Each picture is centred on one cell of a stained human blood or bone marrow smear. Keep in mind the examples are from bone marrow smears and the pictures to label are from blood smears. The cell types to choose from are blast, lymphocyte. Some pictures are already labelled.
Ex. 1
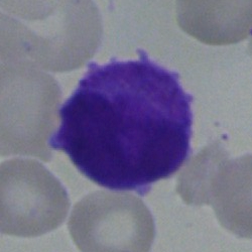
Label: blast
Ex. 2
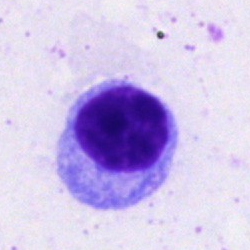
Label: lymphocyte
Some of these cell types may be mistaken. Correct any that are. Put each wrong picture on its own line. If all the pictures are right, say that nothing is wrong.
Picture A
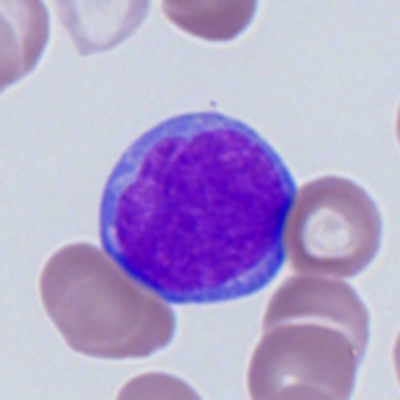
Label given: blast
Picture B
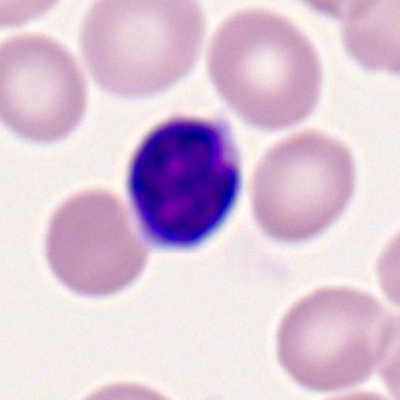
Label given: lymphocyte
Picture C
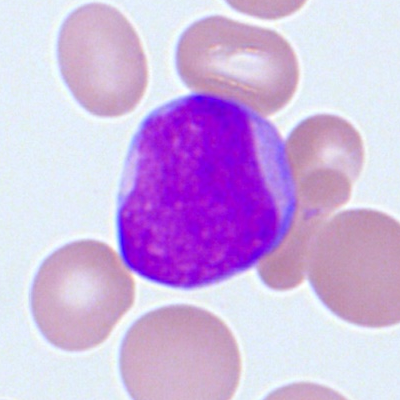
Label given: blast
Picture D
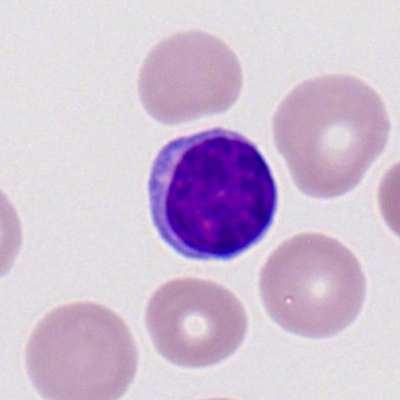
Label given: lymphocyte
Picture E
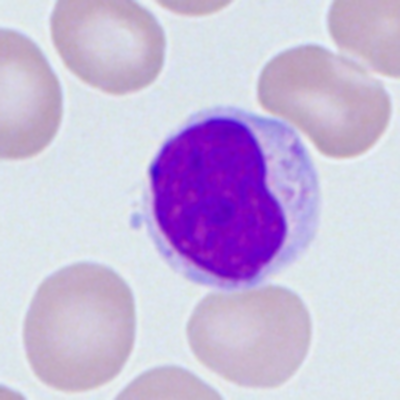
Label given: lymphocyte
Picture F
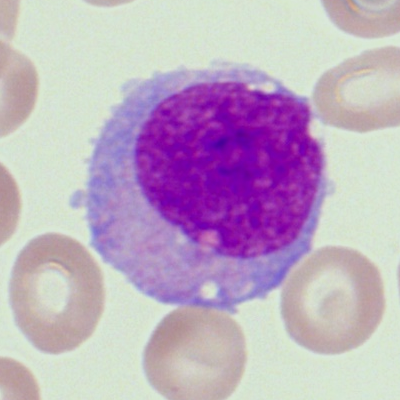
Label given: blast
Every label is right.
